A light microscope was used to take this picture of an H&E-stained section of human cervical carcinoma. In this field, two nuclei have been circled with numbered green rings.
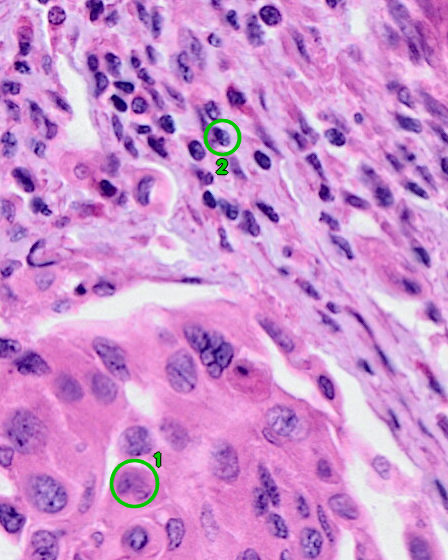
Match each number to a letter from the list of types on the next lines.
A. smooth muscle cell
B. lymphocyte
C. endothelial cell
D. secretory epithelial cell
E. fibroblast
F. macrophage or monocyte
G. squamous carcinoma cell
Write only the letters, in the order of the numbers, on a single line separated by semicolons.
G; B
